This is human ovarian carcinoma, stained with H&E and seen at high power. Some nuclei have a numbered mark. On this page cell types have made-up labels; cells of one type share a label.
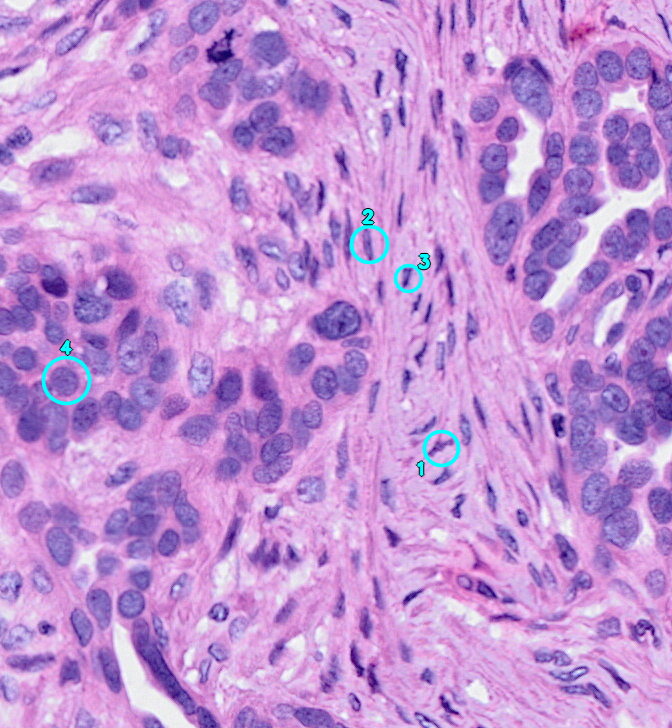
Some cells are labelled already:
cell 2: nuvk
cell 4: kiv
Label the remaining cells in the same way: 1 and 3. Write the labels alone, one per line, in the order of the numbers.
nuvk
nuvk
